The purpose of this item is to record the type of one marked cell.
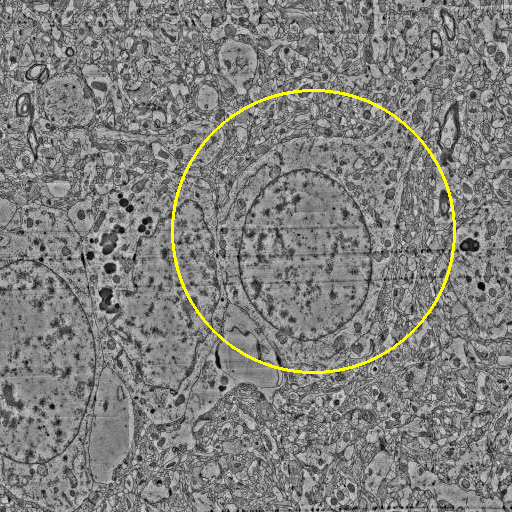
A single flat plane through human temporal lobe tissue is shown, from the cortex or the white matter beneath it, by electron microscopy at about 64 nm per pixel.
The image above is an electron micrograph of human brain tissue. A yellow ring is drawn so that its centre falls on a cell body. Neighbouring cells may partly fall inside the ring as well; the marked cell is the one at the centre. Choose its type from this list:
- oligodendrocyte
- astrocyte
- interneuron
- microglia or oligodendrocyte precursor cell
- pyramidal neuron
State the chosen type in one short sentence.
What the ring marks here is a pyramidal neuron.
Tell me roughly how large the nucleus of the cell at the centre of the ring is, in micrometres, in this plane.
About 11 by 9 micrometers for the nucleus, in this plane.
